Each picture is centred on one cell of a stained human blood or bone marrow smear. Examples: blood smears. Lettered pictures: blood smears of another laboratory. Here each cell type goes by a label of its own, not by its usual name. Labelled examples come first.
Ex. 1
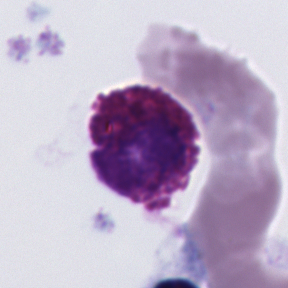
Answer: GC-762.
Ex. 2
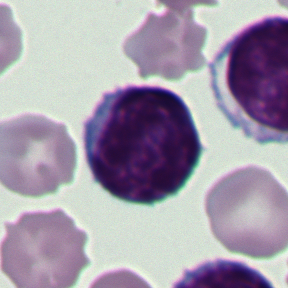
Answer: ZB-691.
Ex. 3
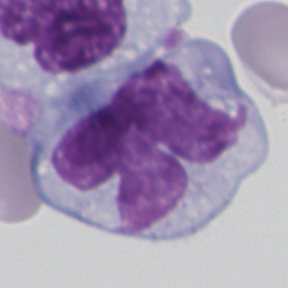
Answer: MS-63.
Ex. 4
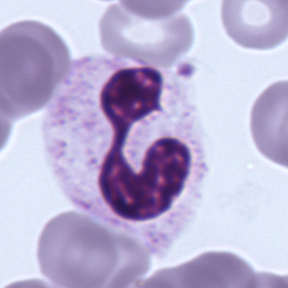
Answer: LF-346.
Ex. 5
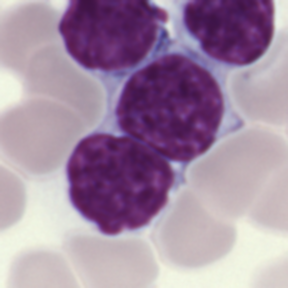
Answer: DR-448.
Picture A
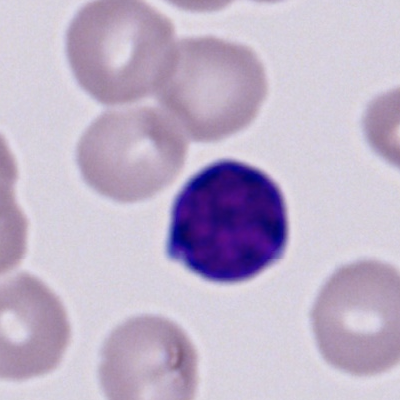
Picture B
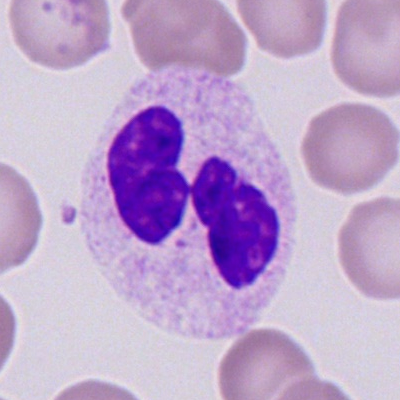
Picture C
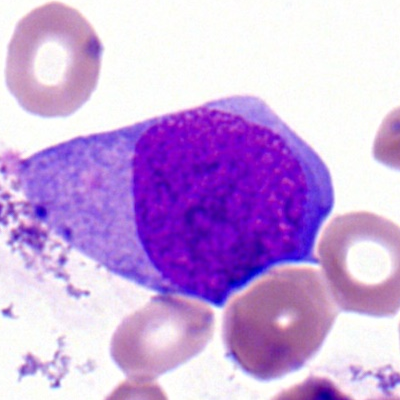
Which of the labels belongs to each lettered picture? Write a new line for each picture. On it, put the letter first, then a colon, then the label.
A: ZB-691.
B: LF-346.
C: DR-448.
